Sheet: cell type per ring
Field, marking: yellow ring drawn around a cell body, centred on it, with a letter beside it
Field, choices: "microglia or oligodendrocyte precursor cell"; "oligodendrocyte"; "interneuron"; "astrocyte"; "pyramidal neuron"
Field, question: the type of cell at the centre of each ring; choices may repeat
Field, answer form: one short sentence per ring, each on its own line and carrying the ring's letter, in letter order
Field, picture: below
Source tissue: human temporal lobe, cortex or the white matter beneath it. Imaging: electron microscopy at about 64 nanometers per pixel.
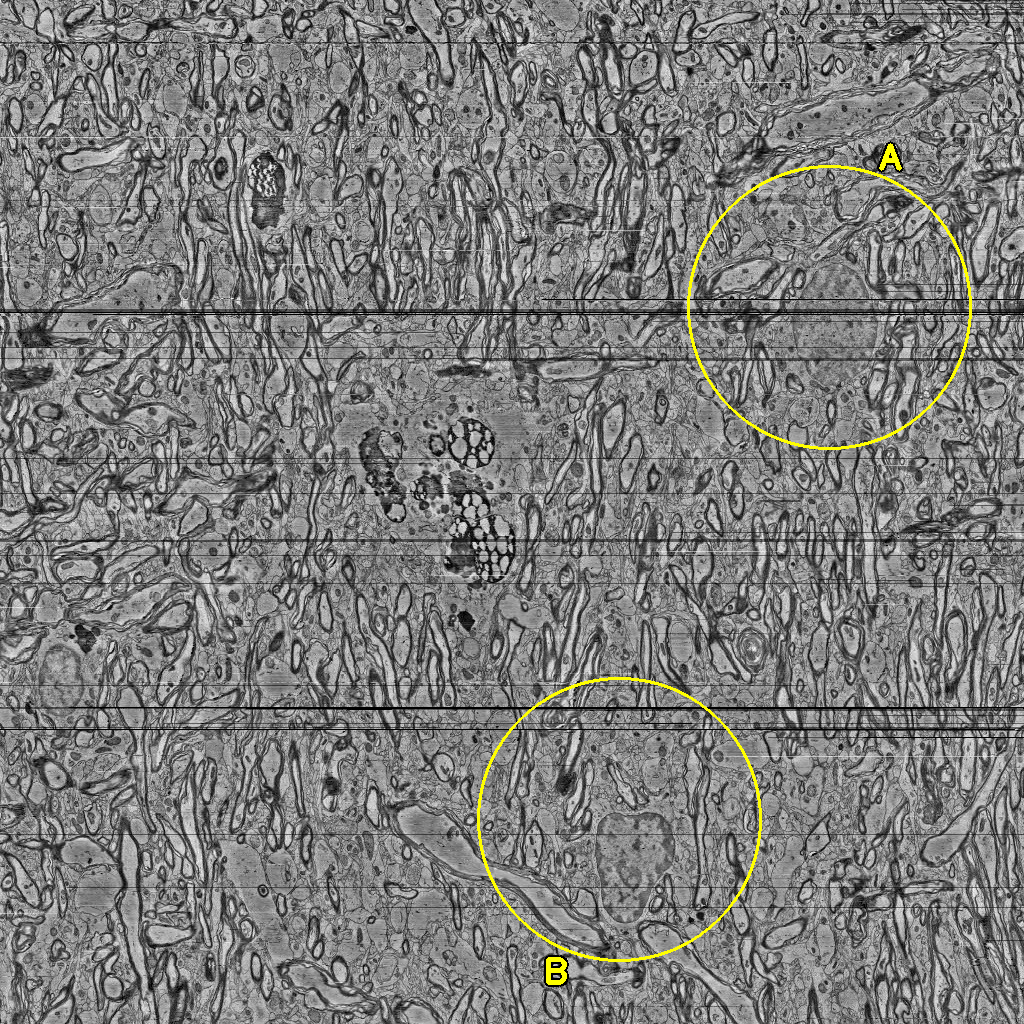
The cell body inside ring A, at its centre, is an oligodendrocyte.
The cell body inside ring B, at its centre, is a microglial cell or oligodendrocyte precursor cell.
